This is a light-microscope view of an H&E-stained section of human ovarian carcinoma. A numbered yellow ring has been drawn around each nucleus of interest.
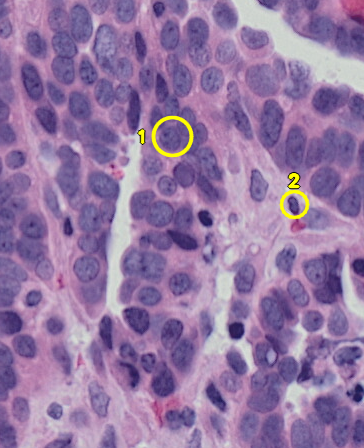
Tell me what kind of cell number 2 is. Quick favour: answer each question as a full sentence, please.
Here, the cell given the number 2 is a lymphocyte.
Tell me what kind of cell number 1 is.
Nucleus 1 in this section belongs to a carcinoma cell.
